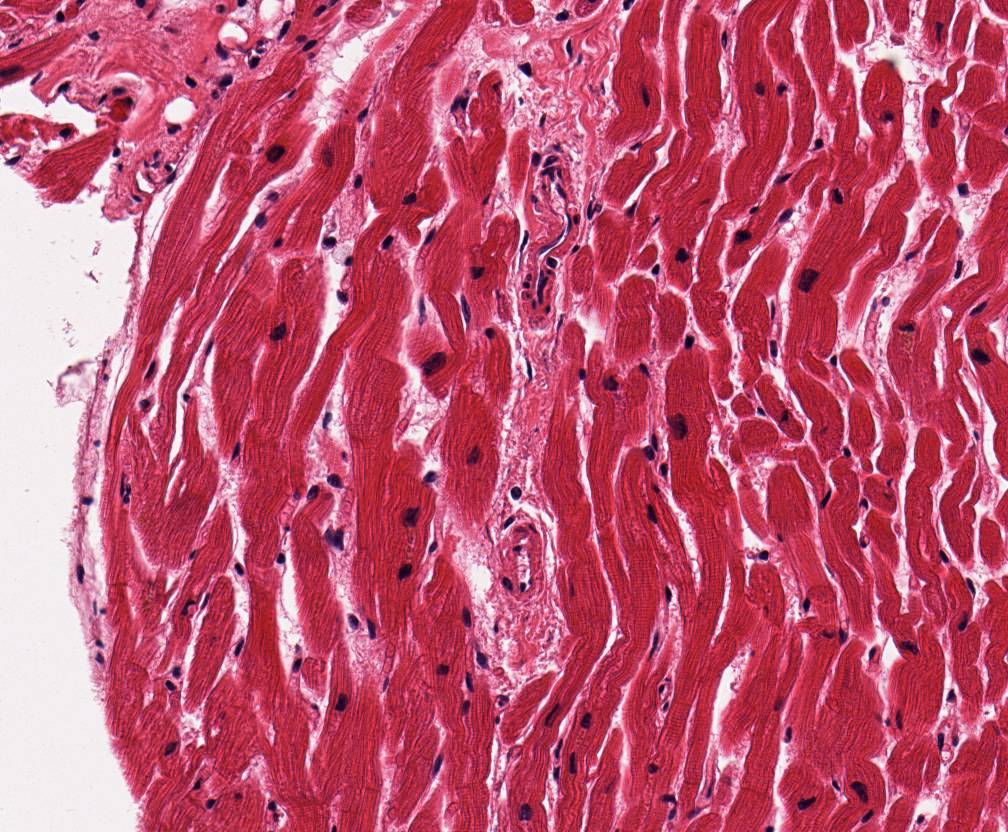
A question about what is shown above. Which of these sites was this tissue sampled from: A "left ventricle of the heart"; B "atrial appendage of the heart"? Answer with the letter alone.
A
